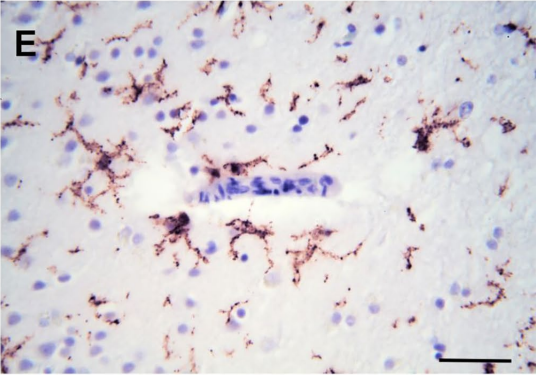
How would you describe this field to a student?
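The microglia have small, dark cell bodies from which many thin, branching processes radiate in all directions. They are spread fairly evenly through the tissue, each occupying its own territory. Between them lie many round blue nuclei of other cells that take no brown stain. In the centre a small vessel runs horizontally, its wall marked by a row of elongated blue nuclei, with brown-stained cells close beside it.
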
